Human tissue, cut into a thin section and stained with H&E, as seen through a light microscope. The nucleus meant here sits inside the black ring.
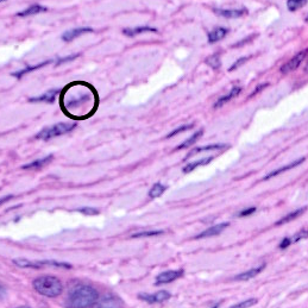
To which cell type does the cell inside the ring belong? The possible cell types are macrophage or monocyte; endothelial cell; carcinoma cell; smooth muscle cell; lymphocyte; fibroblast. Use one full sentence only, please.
In cell-type terms, the cell inside the ring is a fibroblast.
